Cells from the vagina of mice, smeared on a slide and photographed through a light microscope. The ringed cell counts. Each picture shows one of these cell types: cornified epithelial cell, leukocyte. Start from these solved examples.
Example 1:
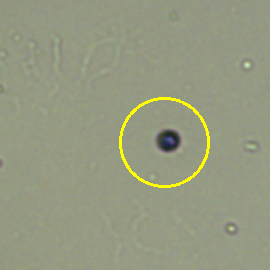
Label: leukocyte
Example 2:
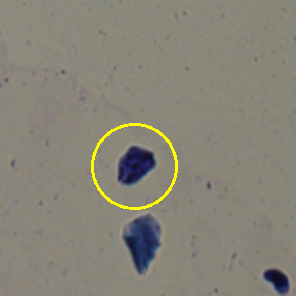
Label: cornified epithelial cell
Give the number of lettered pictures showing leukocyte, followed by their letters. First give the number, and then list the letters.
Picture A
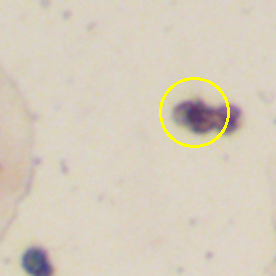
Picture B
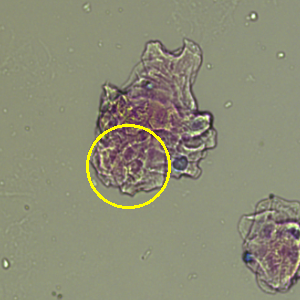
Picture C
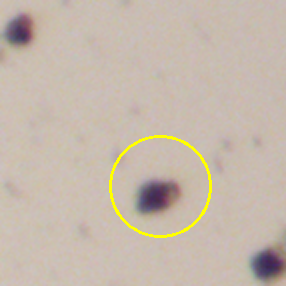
Count: 2 (A, C)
